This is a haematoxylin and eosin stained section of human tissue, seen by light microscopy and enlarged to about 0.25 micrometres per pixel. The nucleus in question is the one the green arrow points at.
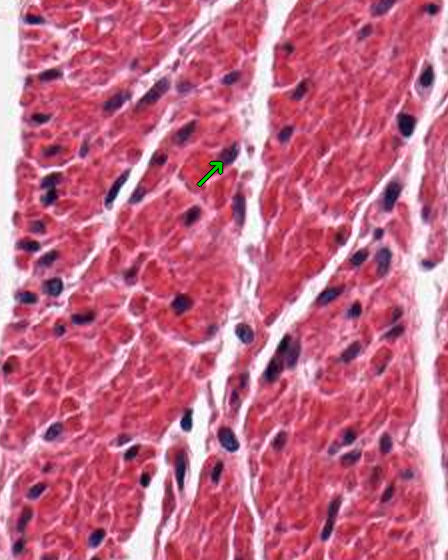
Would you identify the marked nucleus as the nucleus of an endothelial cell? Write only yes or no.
no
